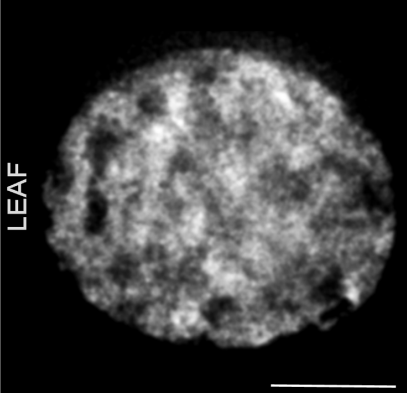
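The chromatin here appears as broad, diffuse clouds of brighter and dimmer staining rather than distinct thin threads. A few darker patches, some near the edge, interrupt the stained mass. Overall the nucleus looks soft-textured and fairly uniformly filled.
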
